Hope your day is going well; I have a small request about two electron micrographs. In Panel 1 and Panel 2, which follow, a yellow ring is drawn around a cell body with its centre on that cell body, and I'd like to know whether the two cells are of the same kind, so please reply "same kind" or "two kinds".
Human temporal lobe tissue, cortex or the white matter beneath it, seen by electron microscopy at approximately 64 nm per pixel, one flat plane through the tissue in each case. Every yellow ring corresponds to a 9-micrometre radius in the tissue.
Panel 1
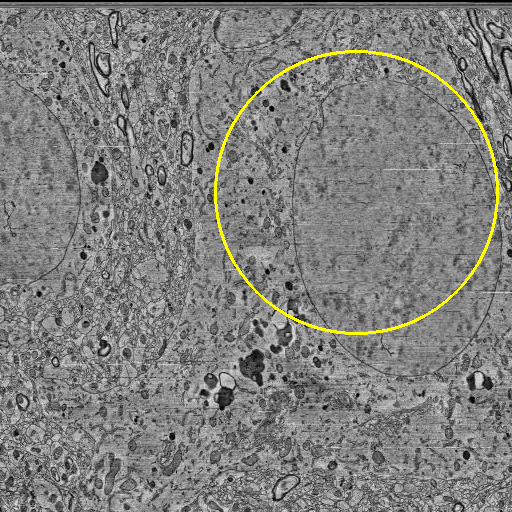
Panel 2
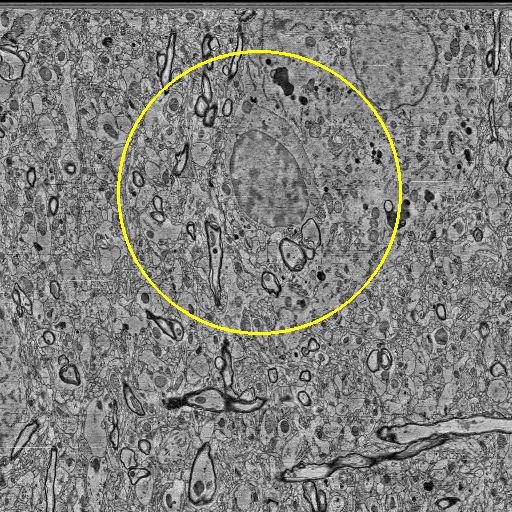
two kinds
